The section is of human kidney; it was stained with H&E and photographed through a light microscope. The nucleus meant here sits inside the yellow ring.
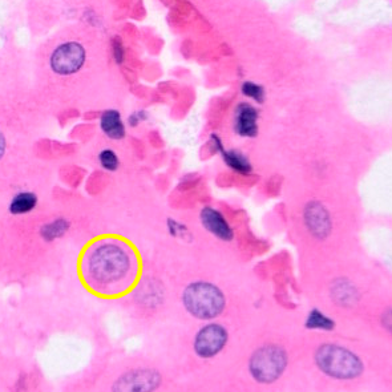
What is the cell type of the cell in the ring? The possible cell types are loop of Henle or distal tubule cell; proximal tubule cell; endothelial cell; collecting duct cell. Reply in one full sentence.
By its classification, the cell in the ring is a proximal tubule cell.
